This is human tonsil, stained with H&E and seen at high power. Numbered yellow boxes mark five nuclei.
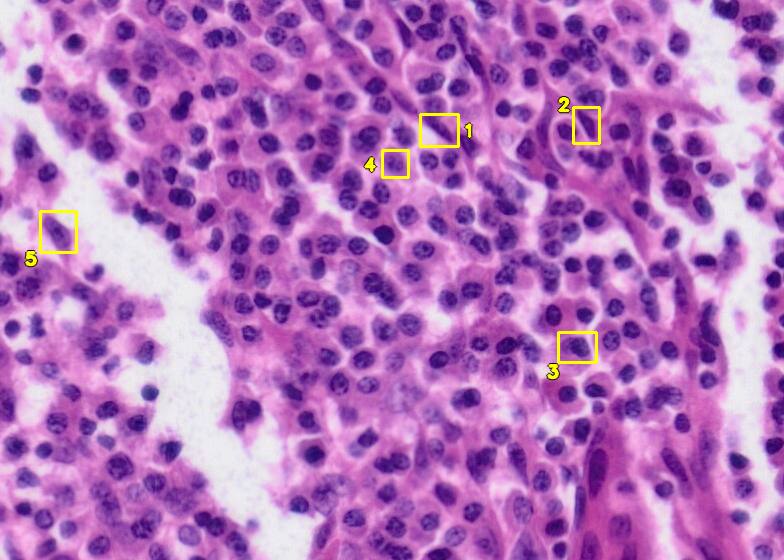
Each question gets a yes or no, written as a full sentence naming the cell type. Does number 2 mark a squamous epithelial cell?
Yes, the marked cell numbered 2 is a squamous epithelial cell.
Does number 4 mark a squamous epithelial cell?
No, calling cell 4 a squamous epithelial cell is a mistake; it is a plasma cell.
